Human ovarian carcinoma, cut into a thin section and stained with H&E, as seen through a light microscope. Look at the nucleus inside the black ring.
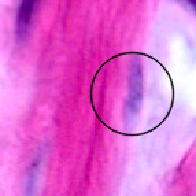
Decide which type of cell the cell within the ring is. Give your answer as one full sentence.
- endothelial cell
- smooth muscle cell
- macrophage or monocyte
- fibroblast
In the tissue at hand, the cell within the ring is a smooth muscle cell.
